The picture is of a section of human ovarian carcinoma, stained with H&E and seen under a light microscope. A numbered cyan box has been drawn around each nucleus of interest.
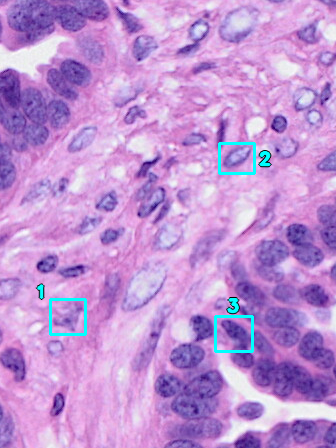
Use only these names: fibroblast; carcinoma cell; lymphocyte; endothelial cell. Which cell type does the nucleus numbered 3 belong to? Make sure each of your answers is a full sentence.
To a carcinoma cell belongs the nucleus marked 3.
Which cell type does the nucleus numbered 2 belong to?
Cell 2 of the marked set is a fibroblast.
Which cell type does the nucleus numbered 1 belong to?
Cell 1, as marked in the section, is a fibroblast.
